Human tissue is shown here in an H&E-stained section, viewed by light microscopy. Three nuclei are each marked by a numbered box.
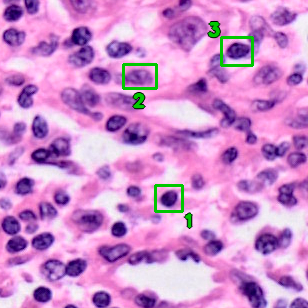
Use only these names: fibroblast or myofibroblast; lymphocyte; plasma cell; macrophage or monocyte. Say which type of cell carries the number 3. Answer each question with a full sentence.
The identity of cell 3 is that of a lymphocyte.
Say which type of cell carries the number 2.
Of the numbered cells, the one labelled 2 is a macrophage or monocyte.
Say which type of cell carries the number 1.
The numeral 1 marks a lymphocyte in this section.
